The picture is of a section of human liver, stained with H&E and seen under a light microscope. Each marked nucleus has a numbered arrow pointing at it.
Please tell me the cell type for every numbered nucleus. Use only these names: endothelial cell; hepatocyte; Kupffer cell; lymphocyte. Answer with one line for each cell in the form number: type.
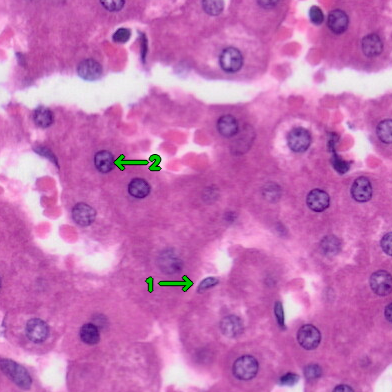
1: endothelial cell
2: hepatocyte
